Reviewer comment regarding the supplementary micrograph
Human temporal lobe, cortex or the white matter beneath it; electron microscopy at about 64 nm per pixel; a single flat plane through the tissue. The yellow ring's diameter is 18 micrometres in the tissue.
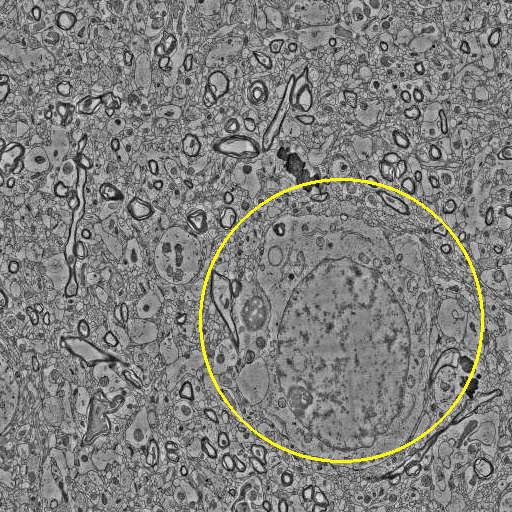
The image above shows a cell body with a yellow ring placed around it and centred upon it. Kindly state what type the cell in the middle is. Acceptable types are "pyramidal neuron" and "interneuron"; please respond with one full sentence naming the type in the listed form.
In the image above, the cell on which the yellow ring is centred is an interneuron.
